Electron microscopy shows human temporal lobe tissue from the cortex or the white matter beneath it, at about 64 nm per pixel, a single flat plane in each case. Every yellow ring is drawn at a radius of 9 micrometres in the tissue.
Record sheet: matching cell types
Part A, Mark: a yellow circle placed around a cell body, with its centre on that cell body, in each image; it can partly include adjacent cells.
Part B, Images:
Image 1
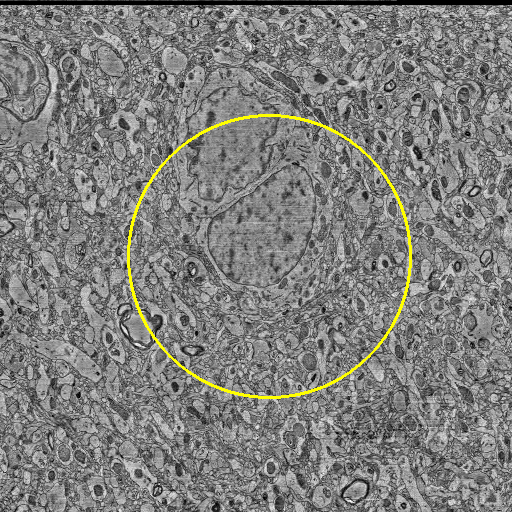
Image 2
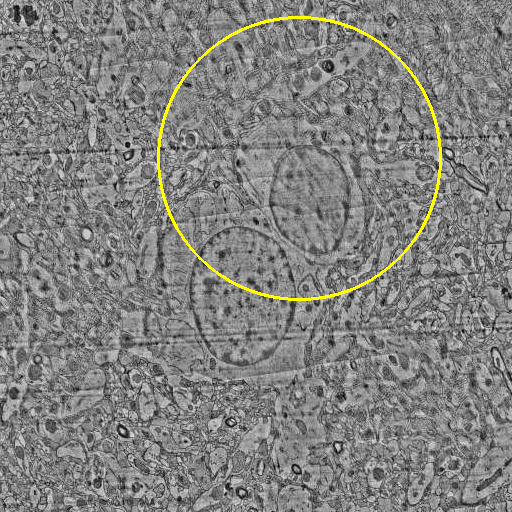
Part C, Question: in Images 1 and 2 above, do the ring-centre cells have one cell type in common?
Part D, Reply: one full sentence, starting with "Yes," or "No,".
No, the ring-centre cells of Image 1 and Image 2 are each of a separate cell type.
